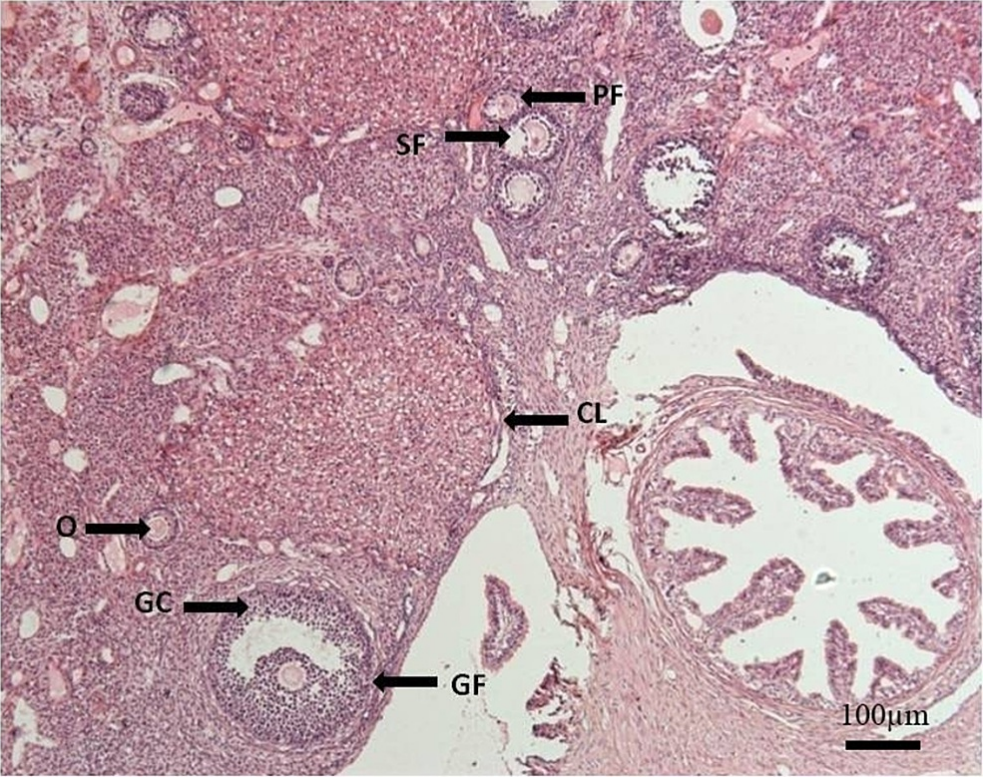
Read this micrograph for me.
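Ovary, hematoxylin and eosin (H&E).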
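The smallest follicles are round, with a single pale oocyte surrounded by a thin rim of small dark granulosa cells, and somewhat larger ones have a thicker cuff of these cells. Lower left, a large follicle has many layers of tightly packed dark-nucleated granulosa cells lining a clear fluid-filled cavity, with the oocyte on a mound of cells projecting into it. In the middle lies a large rounded mass of pale pink polygonal cells with abundant cytoplasm, standing out from the darker stroma around it. At the right edge a tube with a highly folded epithelial lining and a muscular wall is cut across.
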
